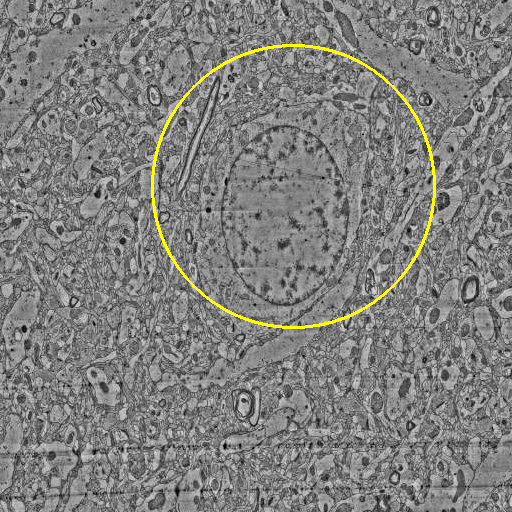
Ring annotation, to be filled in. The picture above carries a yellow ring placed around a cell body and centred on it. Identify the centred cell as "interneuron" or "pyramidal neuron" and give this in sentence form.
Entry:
The cell in the middle of the ring is a pyramidal neuron.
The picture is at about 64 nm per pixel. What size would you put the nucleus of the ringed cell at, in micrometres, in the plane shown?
About 11 by 8 micrometers, in this plane.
